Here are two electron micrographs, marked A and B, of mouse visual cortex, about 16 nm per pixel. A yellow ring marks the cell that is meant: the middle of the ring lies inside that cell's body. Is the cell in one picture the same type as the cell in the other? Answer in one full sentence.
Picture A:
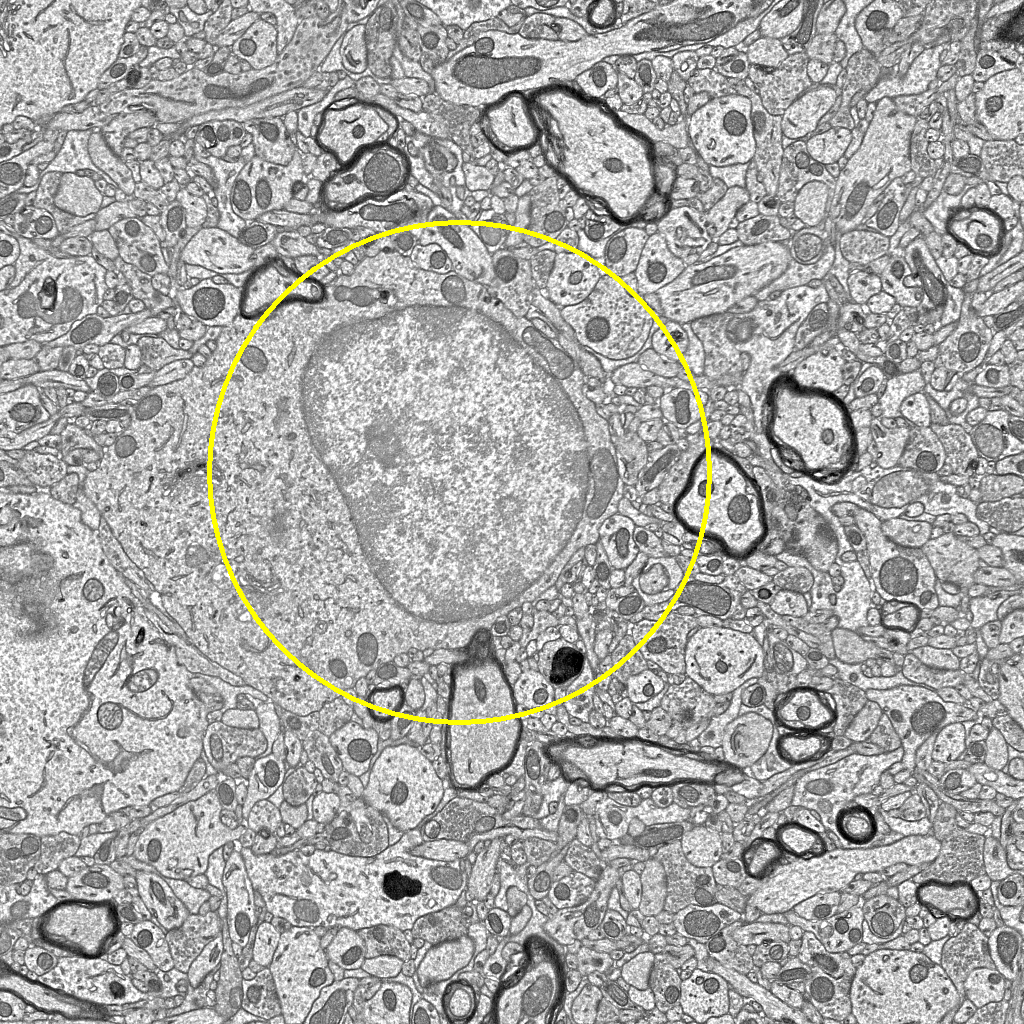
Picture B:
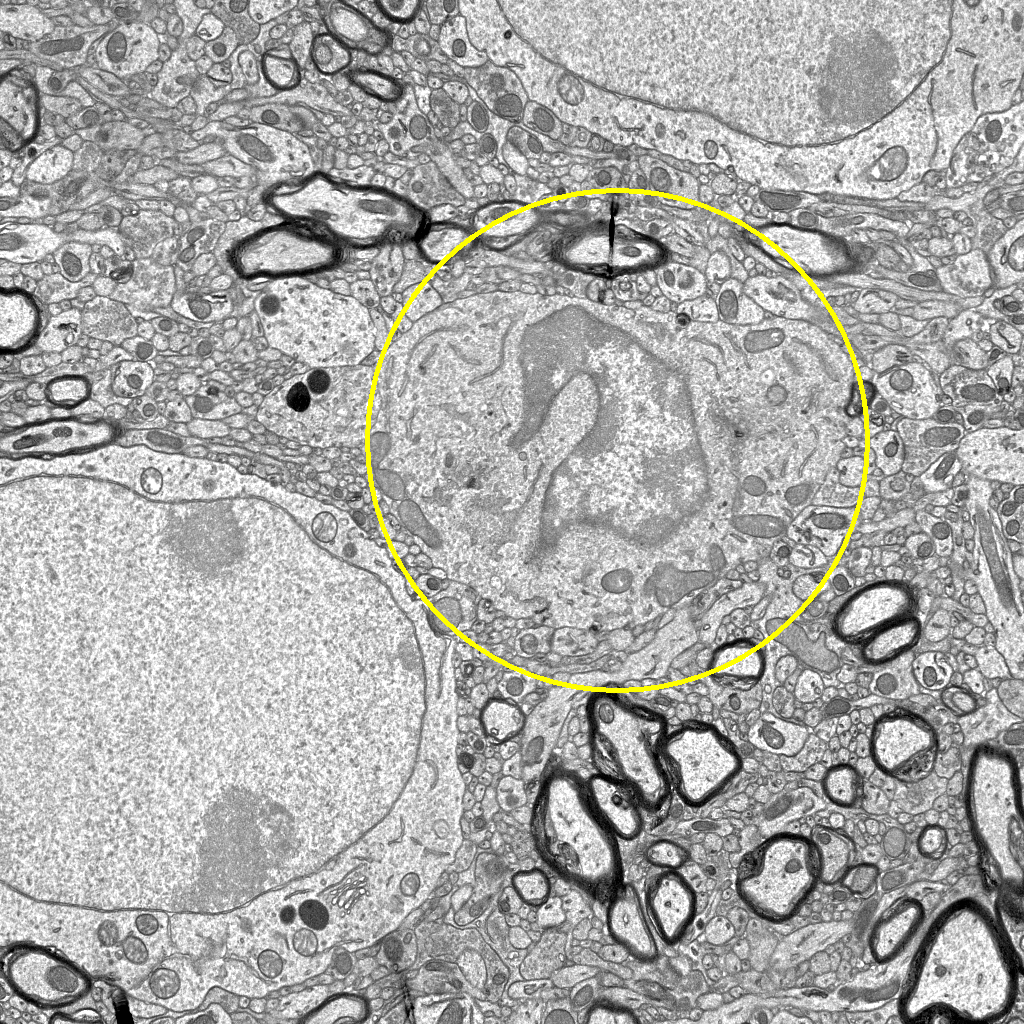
Yes, the two pictures both show oligodendrocytes.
